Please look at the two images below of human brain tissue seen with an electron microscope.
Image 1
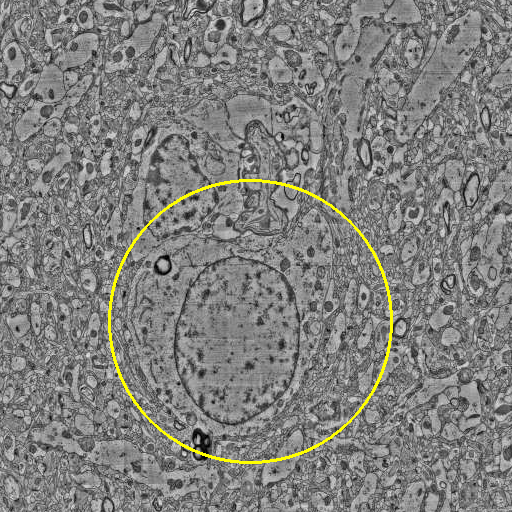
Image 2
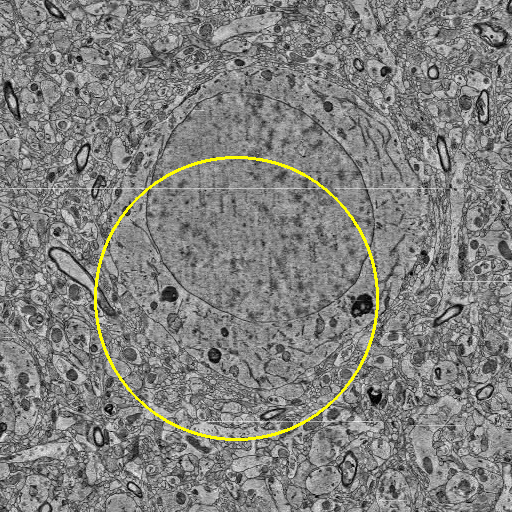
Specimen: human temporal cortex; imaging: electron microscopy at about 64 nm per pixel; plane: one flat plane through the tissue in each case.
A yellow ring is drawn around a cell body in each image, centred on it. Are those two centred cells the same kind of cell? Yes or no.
yes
